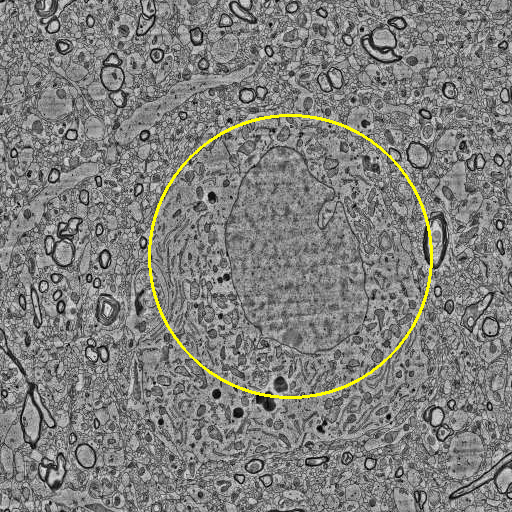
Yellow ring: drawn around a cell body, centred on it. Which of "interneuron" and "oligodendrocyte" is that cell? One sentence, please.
That cell body is from an interneuron.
